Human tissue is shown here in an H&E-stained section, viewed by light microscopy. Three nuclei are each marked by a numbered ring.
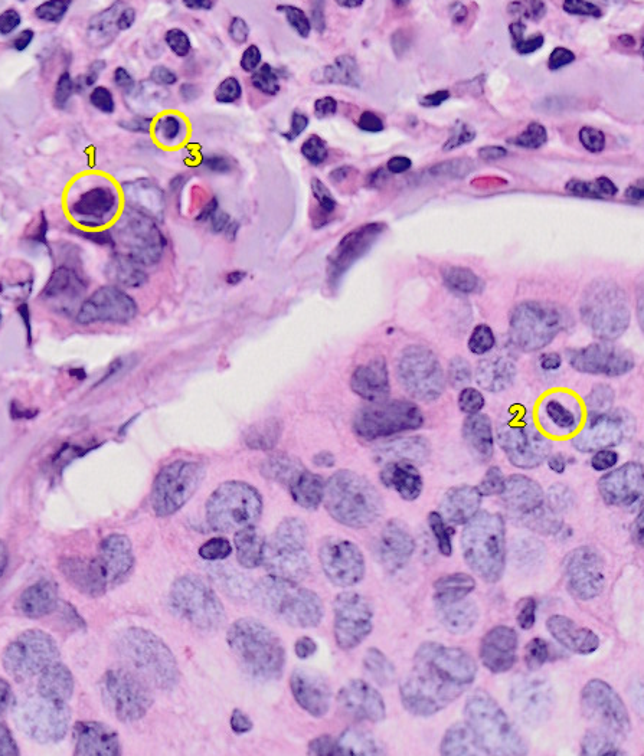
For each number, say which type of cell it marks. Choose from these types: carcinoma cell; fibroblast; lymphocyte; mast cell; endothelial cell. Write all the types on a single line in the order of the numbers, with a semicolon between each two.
carcinoma cell; lymphocyte; lymphocyte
